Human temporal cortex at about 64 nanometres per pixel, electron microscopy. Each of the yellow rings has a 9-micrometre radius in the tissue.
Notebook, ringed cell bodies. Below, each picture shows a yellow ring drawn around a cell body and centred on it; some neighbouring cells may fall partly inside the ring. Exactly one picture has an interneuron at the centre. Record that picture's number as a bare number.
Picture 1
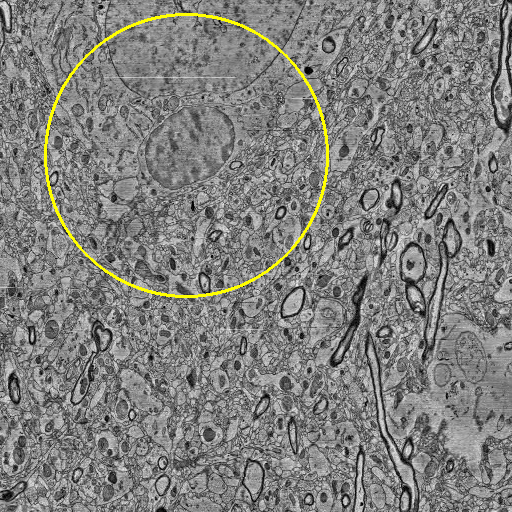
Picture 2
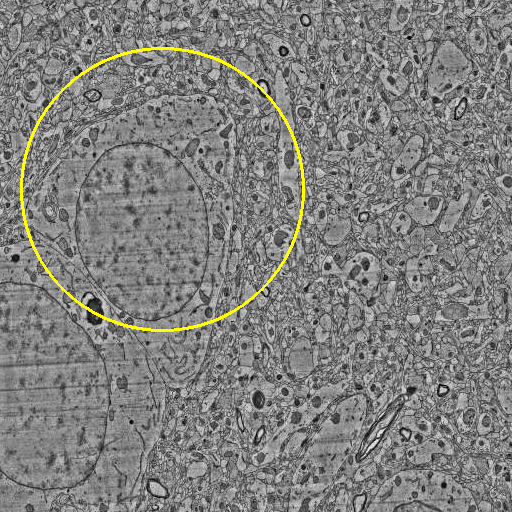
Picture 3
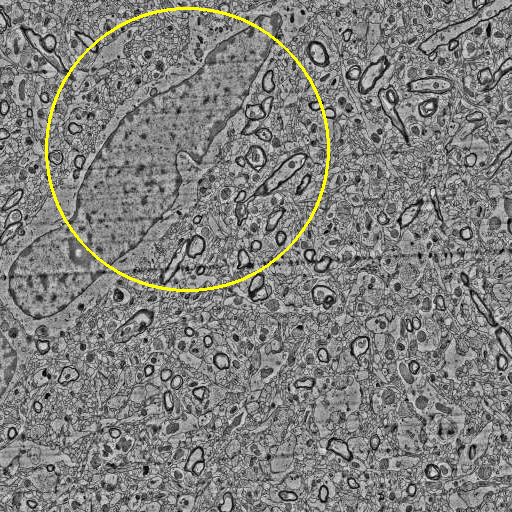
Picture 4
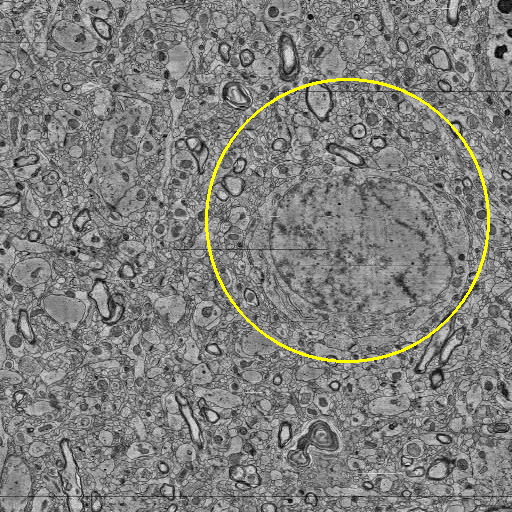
4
